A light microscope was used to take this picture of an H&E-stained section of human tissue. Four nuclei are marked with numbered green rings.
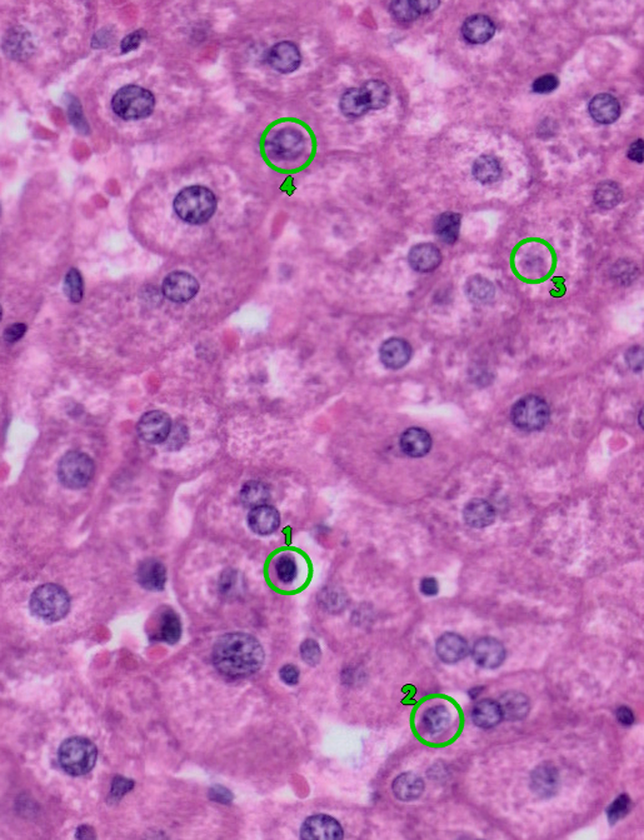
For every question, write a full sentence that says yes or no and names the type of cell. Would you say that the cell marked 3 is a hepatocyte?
Yes, the cell marked with number 3 is a hepatocyte.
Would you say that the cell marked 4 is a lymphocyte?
No, the cell with the number 4 is a hepatocyte, not a lymphocyte.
